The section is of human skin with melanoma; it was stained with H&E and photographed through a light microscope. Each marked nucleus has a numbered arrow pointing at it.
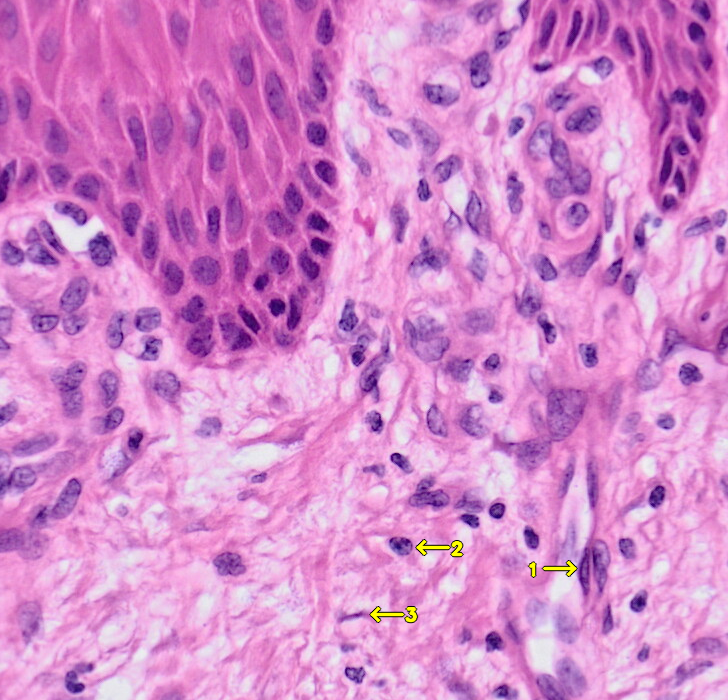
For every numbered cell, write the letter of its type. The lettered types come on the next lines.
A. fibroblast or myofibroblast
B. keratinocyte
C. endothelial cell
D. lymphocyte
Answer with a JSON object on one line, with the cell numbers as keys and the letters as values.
{"1": "C", "2": "D", "3": "A"}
